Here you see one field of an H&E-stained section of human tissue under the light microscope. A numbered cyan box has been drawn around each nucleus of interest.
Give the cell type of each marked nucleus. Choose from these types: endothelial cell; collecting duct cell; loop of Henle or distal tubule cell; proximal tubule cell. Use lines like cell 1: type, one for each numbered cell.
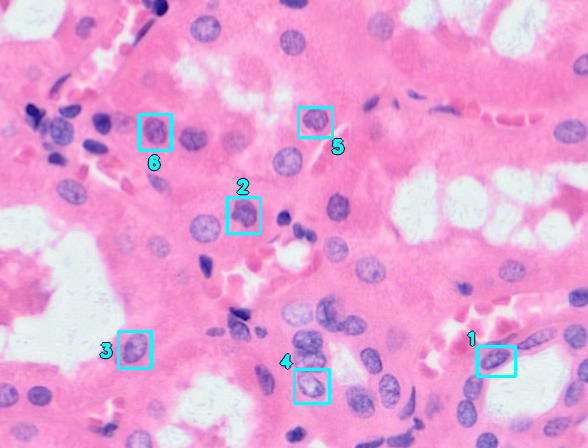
cell 1: collecting duct cell
cell 2: proximal tubule cell
cell 3: proximal tubule cell
cell 4: collecting duct cell
cell 5: proximal tubule cell
cell 6: proximal tubule cell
